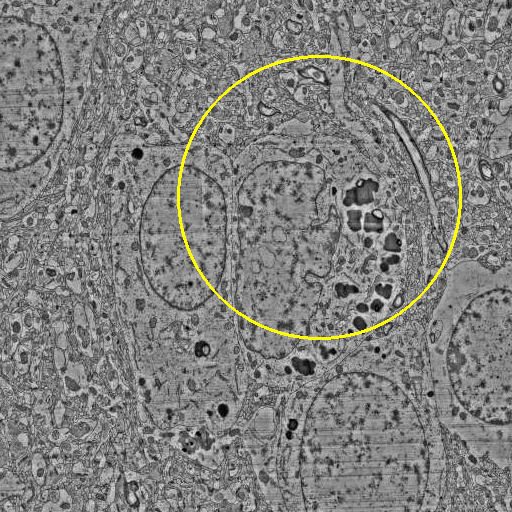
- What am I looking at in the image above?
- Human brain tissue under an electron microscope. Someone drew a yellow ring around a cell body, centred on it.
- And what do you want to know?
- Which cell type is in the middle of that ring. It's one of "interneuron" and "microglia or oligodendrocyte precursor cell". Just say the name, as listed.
interneuron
